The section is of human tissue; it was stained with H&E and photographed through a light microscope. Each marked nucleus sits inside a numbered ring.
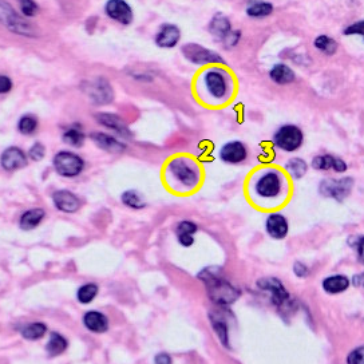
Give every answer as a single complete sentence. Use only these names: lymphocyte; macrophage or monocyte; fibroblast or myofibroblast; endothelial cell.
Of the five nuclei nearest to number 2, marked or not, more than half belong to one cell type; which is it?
Of the five nuclei nearest to number 2, most belong to endothelial cells.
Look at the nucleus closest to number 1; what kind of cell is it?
The nucleus nearest to number 1 is that of a fibroblast or myofibroblast.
